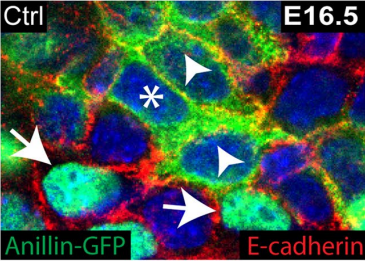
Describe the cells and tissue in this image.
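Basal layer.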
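Red lines run along every cell border, outlining a cobblestone mosaic. Each cell is dominated by a large round to oval blue nucleus, leaving only a thin rim of cytoplasm. Green is granular and sits mostly in that cytoplasmic rim around blue nuclei, in some cells gathered against the cell edge beside the red borders, while in a few cells at the lower left the green fills the whole nucleus, which then looks bright green instead of blue.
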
